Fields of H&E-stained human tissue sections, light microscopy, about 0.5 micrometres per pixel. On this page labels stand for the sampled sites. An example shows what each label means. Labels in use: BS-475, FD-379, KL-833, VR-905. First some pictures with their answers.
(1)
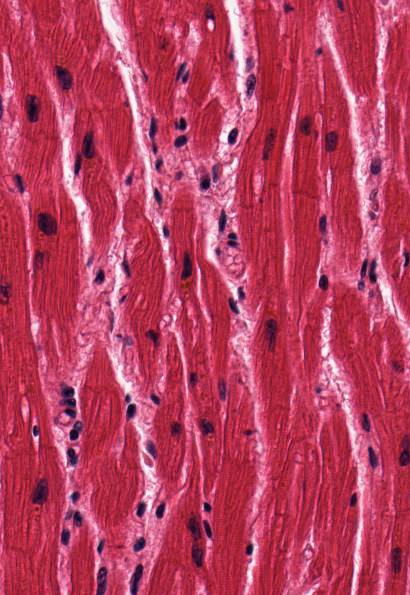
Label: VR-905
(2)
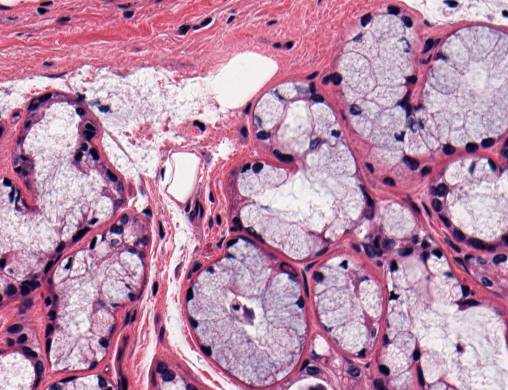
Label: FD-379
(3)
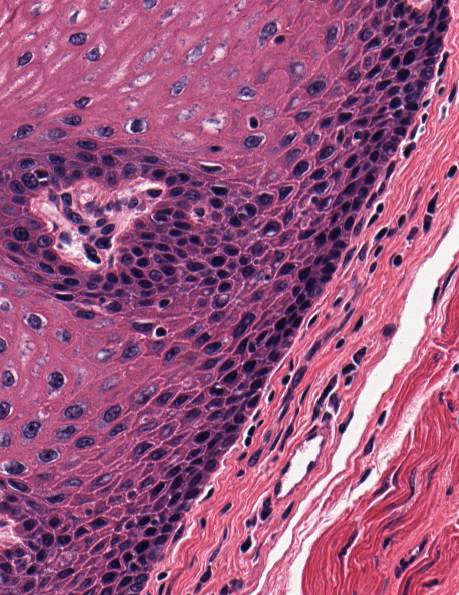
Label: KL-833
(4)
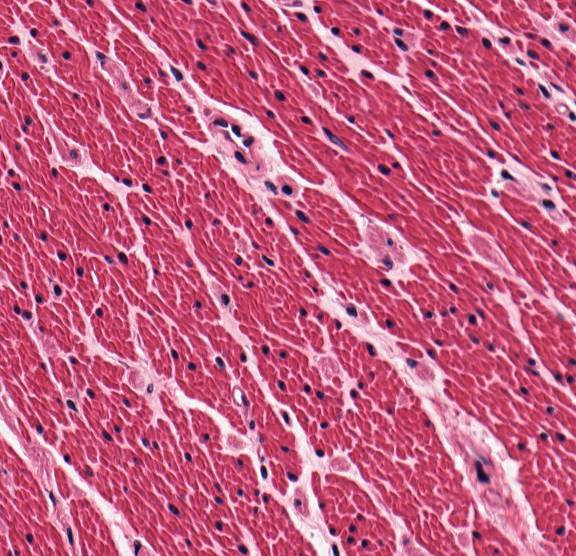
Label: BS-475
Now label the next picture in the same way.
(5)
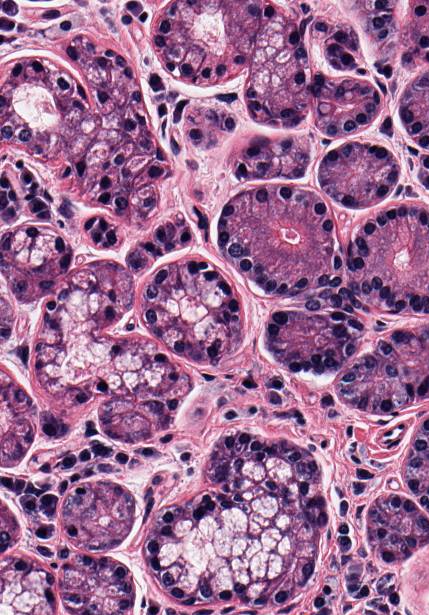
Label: FD-379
